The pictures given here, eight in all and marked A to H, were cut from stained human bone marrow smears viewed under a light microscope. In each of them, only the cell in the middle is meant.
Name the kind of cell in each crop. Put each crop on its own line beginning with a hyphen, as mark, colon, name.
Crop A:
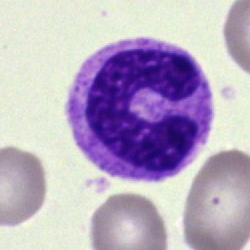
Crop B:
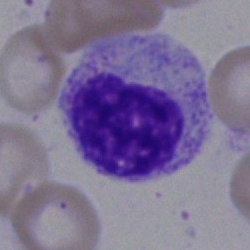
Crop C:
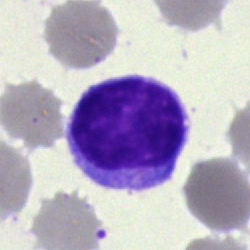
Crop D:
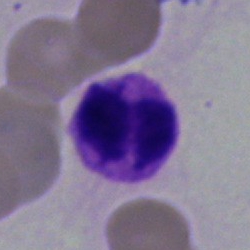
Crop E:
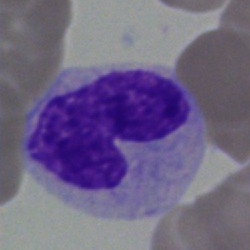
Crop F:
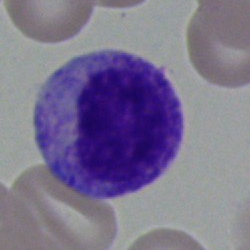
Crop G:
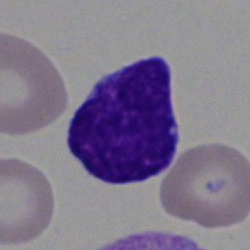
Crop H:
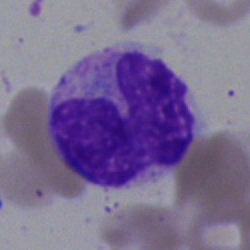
- A: band neutrophil
- B: metamyelocyte
- C: lymphocyte
- D: basophil
- E: band neutrophil
- F: myelocyte
- G: blast
- H: monocyte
